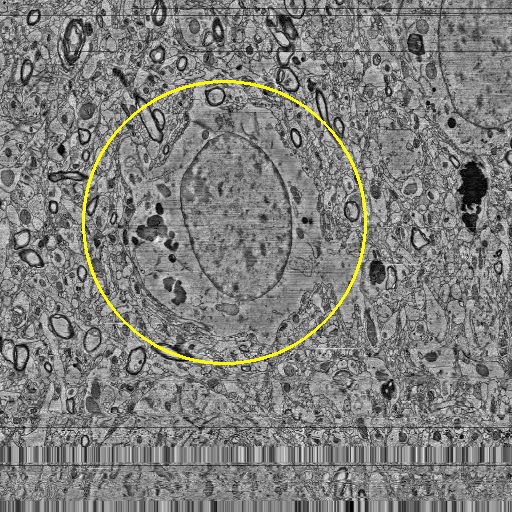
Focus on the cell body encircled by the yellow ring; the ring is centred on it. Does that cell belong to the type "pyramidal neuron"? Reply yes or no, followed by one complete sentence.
No, the cell lying at the centre of the ring in the picture is another type.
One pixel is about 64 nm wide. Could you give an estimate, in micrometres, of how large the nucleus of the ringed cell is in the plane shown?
About 11 by 7 micrometres in this plane; clearly longer than it is wide.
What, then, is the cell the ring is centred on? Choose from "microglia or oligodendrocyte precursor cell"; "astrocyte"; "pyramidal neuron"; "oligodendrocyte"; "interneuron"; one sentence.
The answer is that the ringed cell is an astrocyte.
